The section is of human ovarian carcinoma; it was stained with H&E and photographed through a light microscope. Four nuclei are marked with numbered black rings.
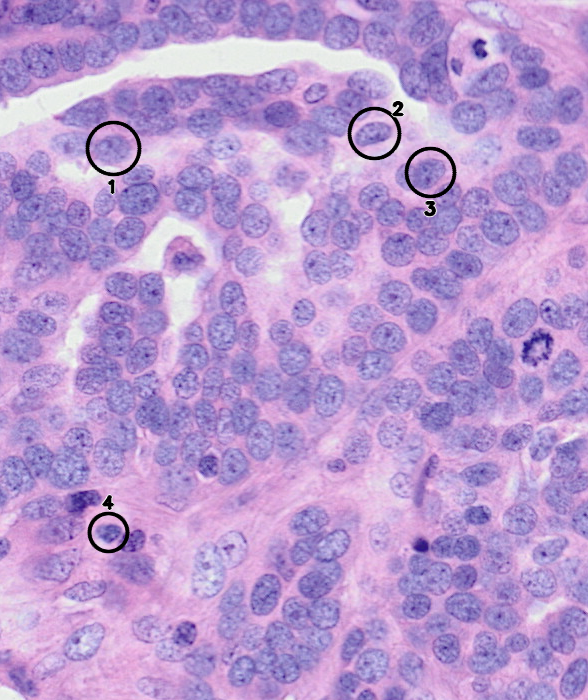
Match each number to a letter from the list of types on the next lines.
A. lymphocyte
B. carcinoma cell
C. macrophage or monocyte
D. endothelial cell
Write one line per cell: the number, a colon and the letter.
1: B
2: C
3: B
4: A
